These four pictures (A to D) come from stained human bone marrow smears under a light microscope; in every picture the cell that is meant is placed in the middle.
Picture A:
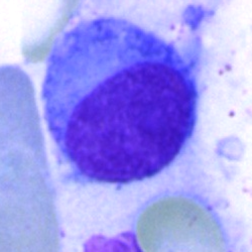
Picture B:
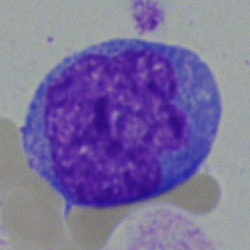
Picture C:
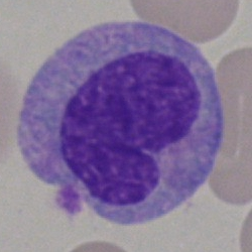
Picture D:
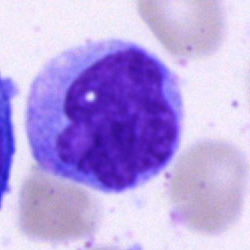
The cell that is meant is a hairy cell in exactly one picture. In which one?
A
